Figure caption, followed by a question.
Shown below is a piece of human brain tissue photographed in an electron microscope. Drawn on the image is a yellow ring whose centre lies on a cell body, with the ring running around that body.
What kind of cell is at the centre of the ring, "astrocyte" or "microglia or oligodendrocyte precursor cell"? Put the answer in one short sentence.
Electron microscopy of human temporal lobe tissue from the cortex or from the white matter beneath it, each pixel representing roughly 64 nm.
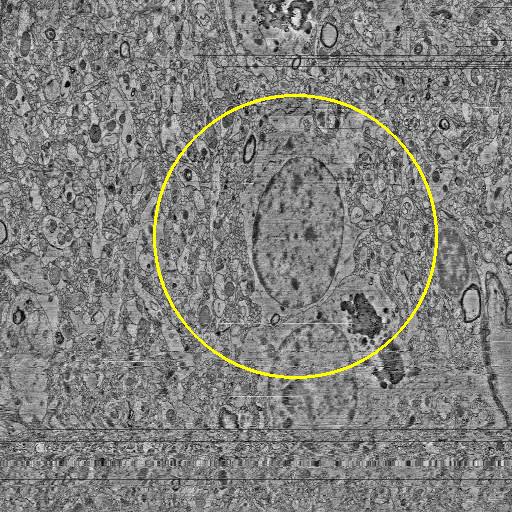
The ring marks the cell body of an astrocyte.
